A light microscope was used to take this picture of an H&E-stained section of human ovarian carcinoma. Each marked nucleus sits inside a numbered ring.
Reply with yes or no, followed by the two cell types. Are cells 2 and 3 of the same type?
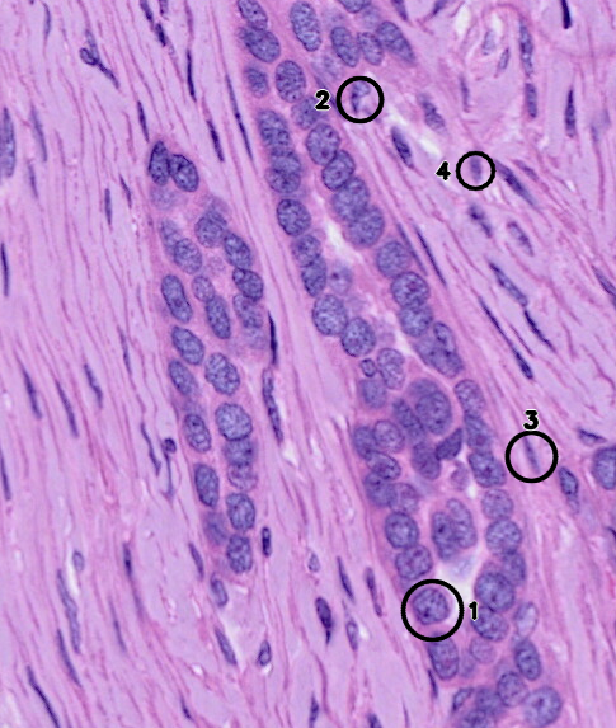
Yes, cells 2 and 3 both belong to the category of fibroblasts.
